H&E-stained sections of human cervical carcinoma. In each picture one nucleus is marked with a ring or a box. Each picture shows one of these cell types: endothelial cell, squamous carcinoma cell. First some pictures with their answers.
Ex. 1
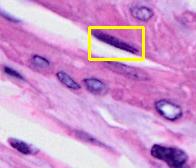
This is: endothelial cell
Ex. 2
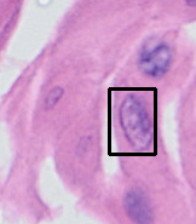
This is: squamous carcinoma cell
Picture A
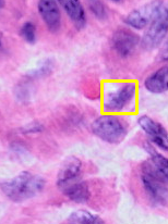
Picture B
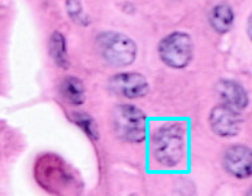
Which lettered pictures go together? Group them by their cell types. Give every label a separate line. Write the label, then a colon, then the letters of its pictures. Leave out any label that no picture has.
endothelial cell: A
squamous carcinoma cell: B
